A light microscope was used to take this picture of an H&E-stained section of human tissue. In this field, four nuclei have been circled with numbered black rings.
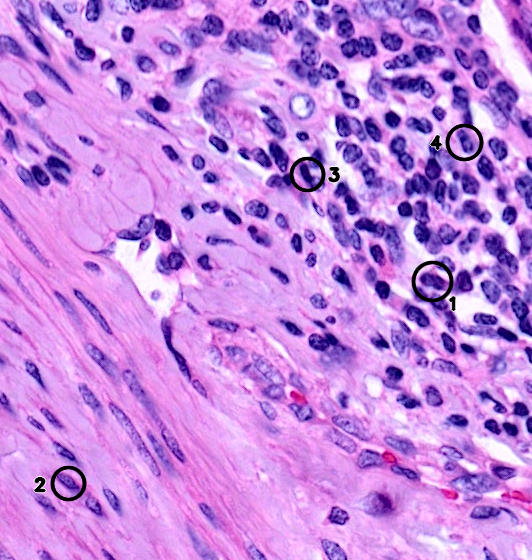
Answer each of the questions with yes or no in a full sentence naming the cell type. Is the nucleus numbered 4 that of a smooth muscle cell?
No, as for cell 4, it is a lymphocyte and not a smooth muscle cell.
